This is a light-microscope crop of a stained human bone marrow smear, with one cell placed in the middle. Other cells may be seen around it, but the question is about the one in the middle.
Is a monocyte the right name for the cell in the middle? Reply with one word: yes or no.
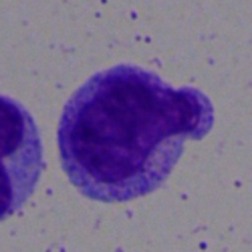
no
